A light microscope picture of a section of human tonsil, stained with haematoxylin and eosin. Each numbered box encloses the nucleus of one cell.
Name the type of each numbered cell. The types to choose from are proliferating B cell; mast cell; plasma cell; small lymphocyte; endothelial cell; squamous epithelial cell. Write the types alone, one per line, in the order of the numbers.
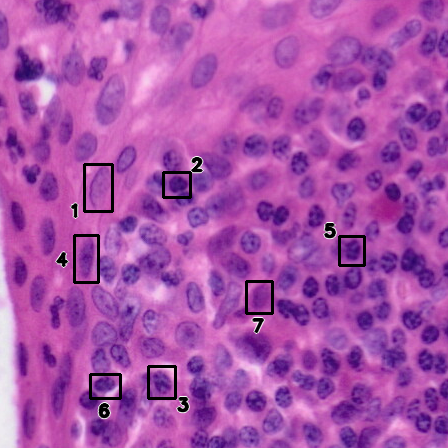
squamous epithelial cell
plasma cell
plasma cell
squamous epithelial cell
plasma cell
plasma cell
squamous epithelial cell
